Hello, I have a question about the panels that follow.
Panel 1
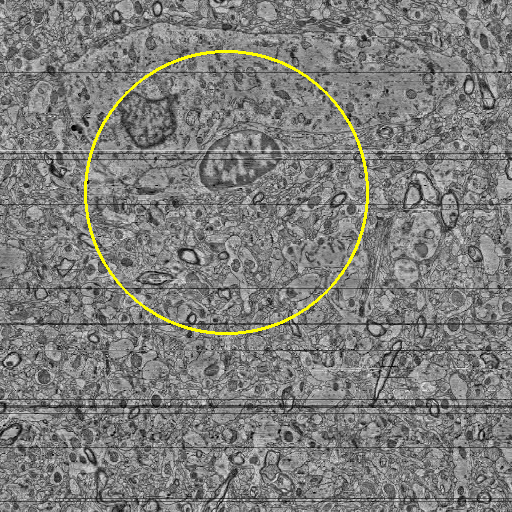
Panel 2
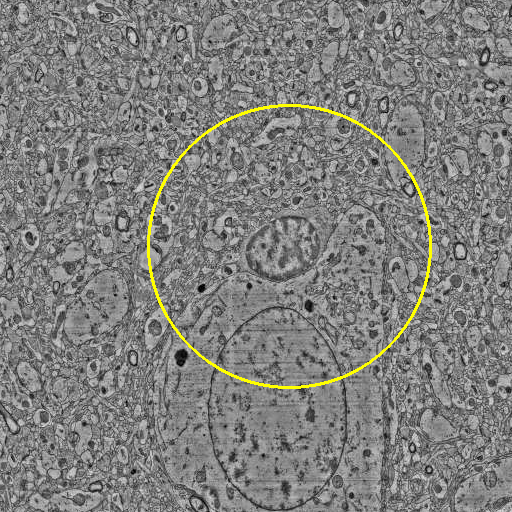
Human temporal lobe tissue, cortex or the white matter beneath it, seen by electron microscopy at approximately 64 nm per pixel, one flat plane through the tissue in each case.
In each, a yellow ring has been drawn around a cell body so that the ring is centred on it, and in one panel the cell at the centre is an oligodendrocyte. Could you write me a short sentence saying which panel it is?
It is Panel 2.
